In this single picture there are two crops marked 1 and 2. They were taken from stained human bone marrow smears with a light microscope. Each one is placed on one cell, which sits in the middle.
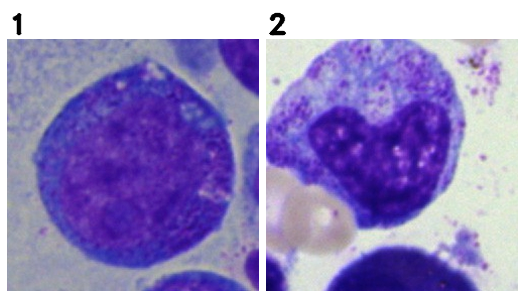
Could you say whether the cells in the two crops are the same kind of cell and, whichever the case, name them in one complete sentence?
Yes, put down promyelocytes for both crops.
